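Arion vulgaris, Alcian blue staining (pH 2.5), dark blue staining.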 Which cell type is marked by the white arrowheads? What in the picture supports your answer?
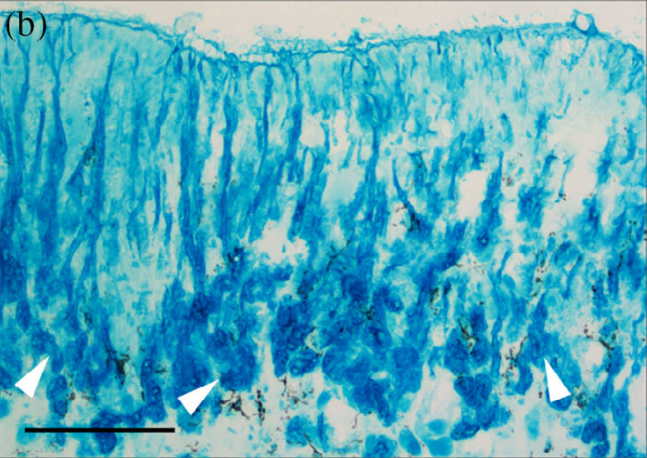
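Gland types. Dark blue lobulated clusters lie deep beneath the surface layer. Long dark blue streaks run from the clusters up to the surface.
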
